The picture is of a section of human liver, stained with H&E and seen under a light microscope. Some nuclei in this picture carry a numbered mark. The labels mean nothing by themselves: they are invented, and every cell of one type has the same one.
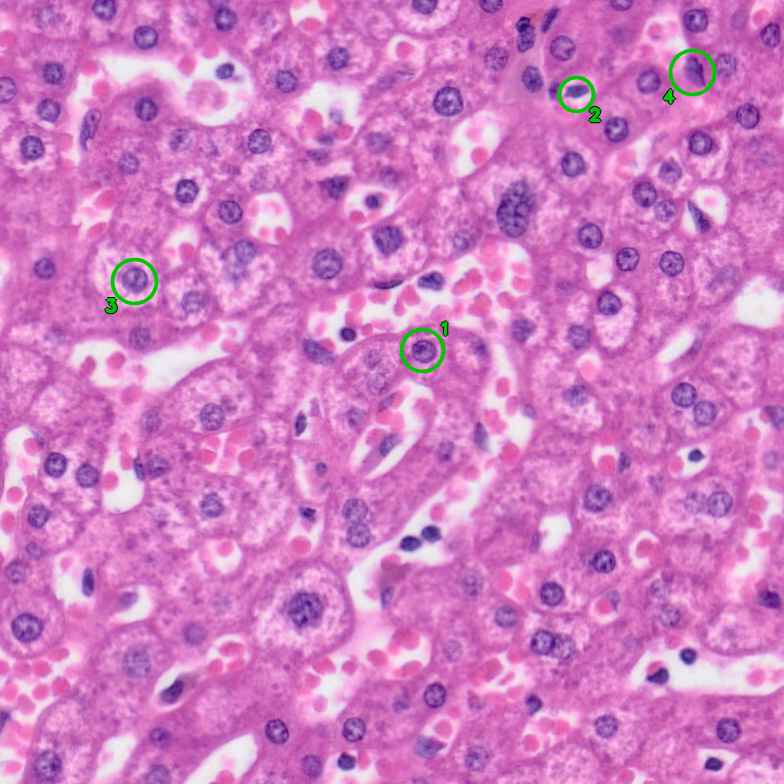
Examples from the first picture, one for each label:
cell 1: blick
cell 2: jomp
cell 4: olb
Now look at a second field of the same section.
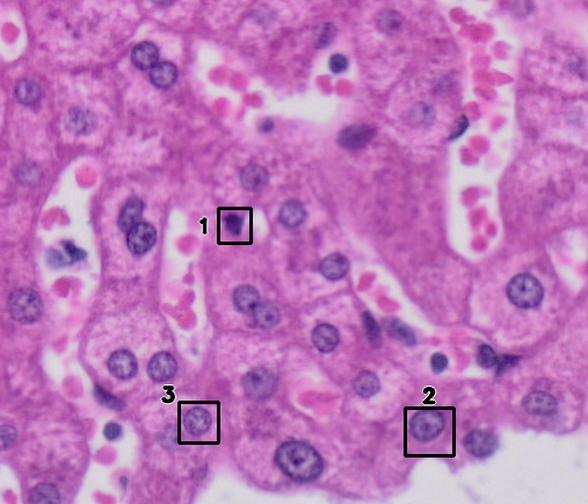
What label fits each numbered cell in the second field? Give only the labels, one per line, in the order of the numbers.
olb
blick
blick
